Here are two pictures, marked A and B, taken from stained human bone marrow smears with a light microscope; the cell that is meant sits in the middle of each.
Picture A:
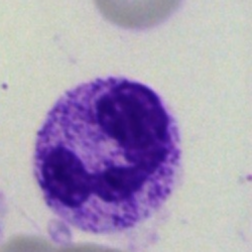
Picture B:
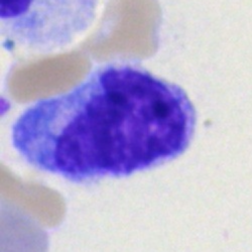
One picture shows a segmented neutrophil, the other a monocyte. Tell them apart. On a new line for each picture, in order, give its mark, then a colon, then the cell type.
A: segmented neutrophil
B: monocyte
